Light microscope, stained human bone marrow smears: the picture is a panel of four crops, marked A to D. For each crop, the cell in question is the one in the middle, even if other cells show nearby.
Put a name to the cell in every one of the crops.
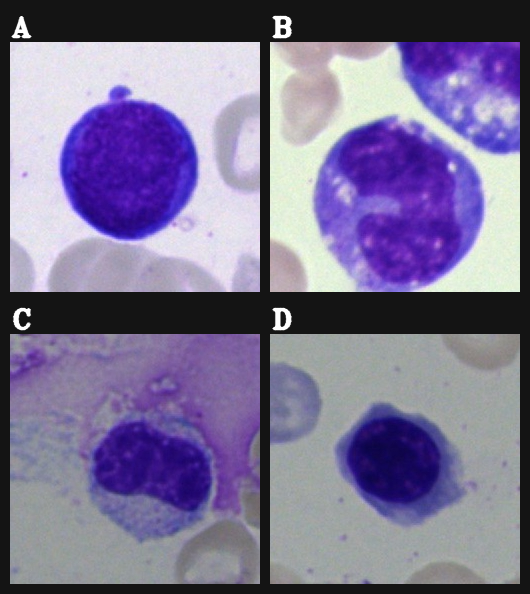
A: blast
B: monocyte
C: metamyelocyte
D: erythroblast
